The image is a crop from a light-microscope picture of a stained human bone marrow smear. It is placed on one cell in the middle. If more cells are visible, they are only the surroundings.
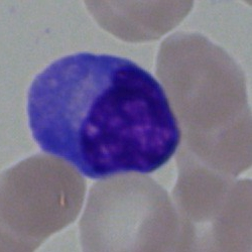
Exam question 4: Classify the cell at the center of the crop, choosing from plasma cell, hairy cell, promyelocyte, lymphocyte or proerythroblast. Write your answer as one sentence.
The cell of interest, in the center, is a plasma cell.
